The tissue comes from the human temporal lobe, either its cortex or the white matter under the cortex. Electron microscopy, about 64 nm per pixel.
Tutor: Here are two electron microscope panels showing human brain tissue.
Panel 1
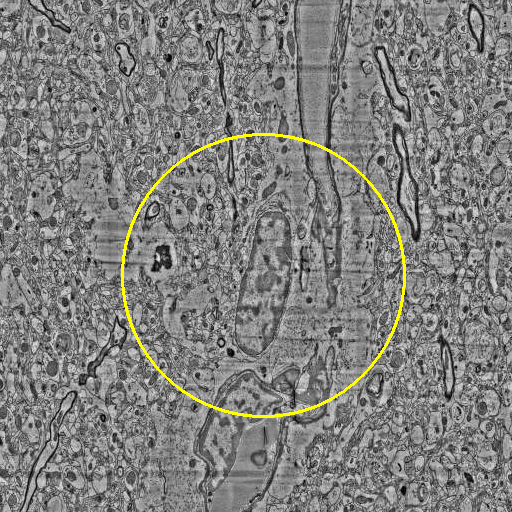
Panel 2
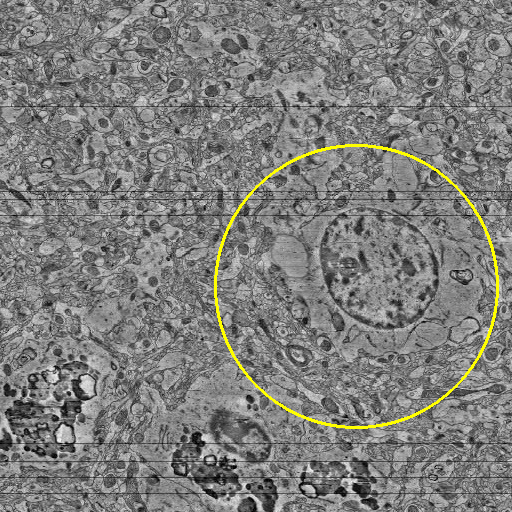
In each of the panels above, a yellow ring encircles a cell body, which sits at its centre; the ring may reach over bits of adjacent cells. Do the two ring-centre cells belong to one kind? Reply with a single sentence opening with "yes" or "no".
No, the two cells sitting at the ring centres in the panels belong to two kinds.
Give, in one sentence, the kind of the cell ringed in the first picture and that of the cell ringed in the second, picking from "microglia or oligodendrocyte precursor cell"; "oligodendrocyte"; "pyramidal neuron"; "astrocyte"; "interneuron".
For the first picture it is a microglial cell or oligodendrocyte precursor cell; for the second, an astrocyte.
